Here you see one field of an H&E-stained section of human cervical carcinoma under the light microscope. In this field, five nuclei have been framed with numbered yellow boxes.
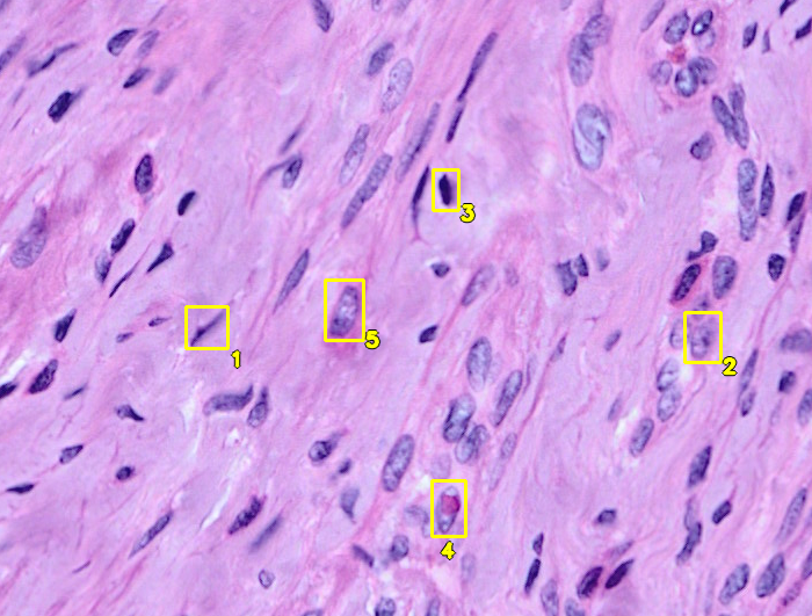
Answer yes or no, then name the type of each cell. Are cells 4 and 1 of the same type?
No, the cell tagged 4 is an endothelial cell, whereas the cell tagged 1 is a fibroblast.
